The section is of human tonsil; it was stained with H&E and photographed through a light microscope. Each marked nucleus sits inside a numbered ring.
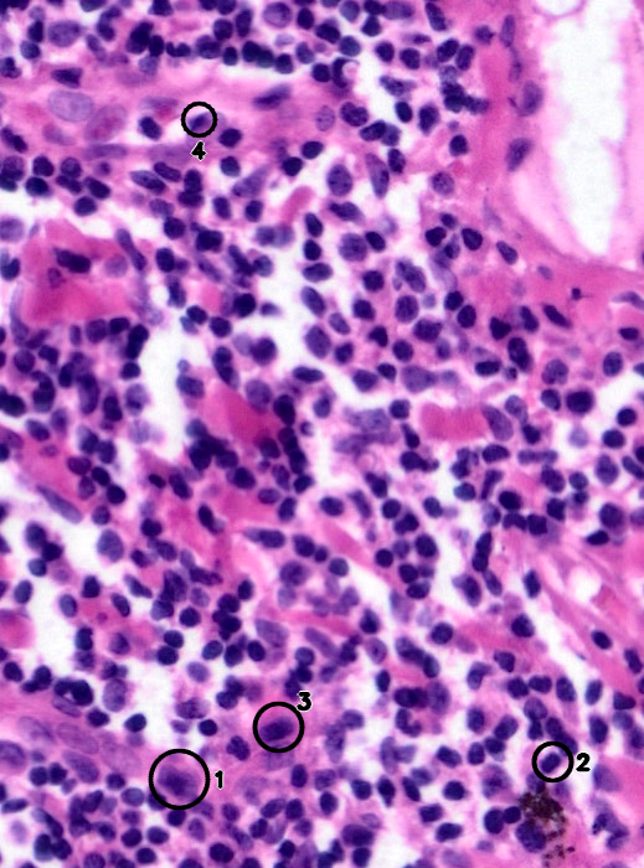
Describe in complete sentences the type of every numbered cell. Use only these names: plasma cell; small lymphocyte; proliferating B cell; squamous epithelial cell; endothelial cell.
Cells 1, 3 and 4 are endothelial cells. Cell 2 is a small lymphocyte.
